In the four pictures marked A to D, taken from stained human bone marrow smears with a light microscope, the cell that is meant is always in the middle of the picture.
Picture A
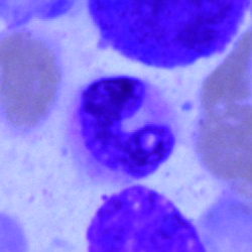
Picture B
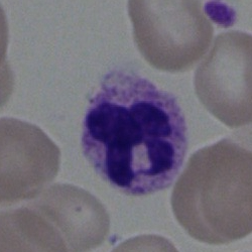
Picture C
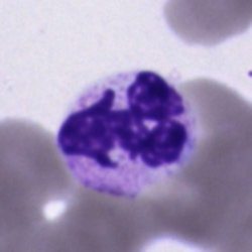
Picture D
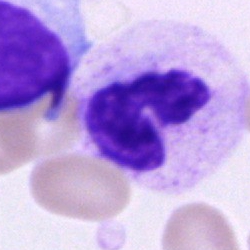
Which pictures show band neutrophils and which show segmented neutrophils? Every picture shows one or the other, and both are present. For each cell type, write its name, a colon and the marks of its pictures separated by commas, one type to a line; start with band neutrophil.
band neutrophil: A
segmented neutrophil: B, C, D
